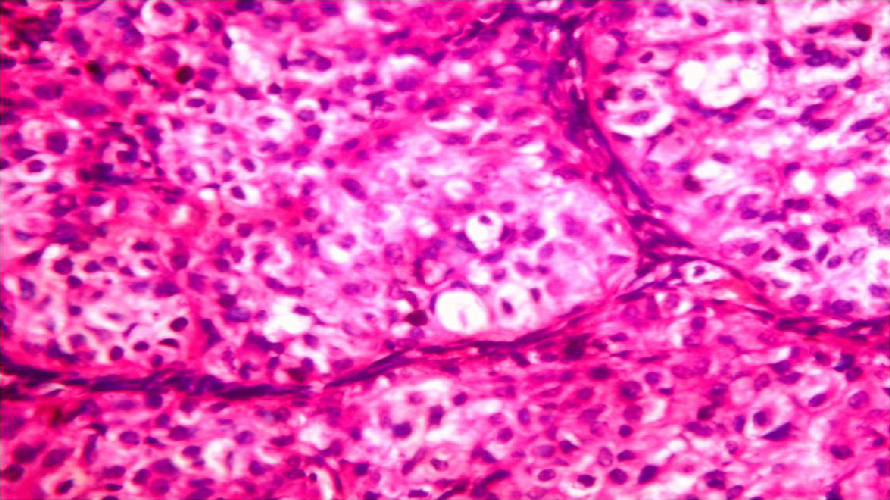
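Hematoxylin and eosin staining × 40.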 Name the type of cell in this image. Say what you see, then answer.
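Large polygonal cells with abundant eosinophilic cytoplasm. Cells are many-sided and closely packed. Each cell has a broad pink cytoplasm around a single round dark nucleus.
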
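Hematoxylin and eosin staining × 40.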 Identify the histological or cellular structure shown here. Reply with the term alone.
Thin fibrous bands.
